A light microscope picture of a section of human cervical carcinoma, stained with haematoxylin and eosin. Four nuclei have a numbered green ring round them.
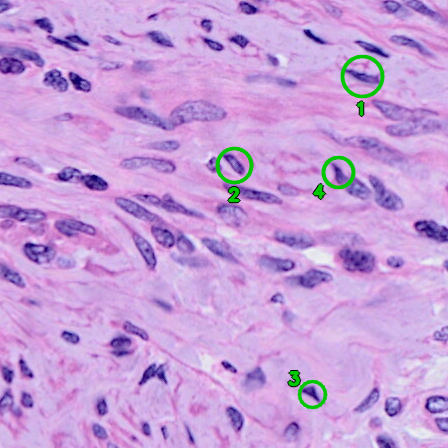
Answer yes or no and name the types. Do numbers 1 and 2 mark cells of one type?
Yes, the cell labelled 1 and the cell labelled 2 are both smooth muscle cells.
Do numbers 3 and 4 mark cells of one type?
No, cell 3 is to be identified as a fibroblast and cell 4 as a smooth muscle cell.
